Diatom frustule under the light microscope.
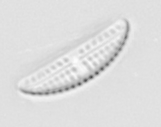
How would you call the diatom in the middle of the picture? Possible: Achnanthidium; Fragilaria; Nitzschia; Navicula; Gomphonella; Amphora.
I would call it Amphora.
